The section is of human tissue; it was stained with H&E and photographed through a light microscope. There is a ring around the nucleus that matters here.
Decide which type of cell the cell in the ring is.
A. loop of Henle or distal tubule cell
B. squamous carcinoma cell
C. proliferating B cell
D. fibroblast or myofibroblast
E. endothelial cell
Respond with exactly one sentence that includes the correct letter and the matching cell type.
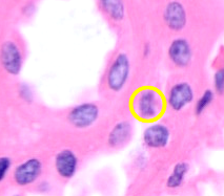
The correct option, A, describes the cell in the ring as a loop of Henle or distal tubule cell.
